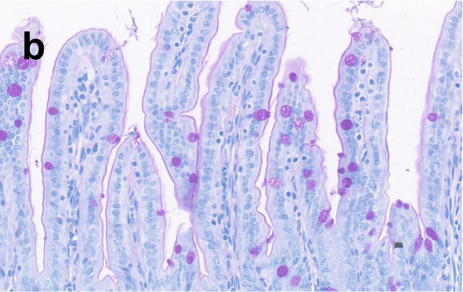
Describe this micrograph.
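Several finger-like villi of the intestine are lined by a single layer of tall columnar cells with blue, elongated nuclei, around a core of loose connective tissue. Scattered among these columnar cells are numerous rounded cells filled with deep magenta material, some bulging toward the lumen. A thin magenta line also follows the apical surface of the epithelium.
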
